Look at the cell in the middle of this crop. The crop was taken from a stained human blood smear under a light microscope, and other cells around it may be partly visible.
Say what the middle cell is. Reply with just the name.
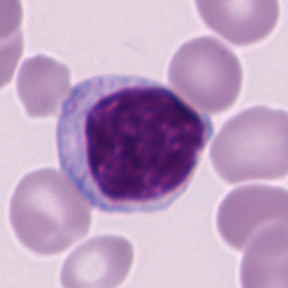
large granular lymphocyte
